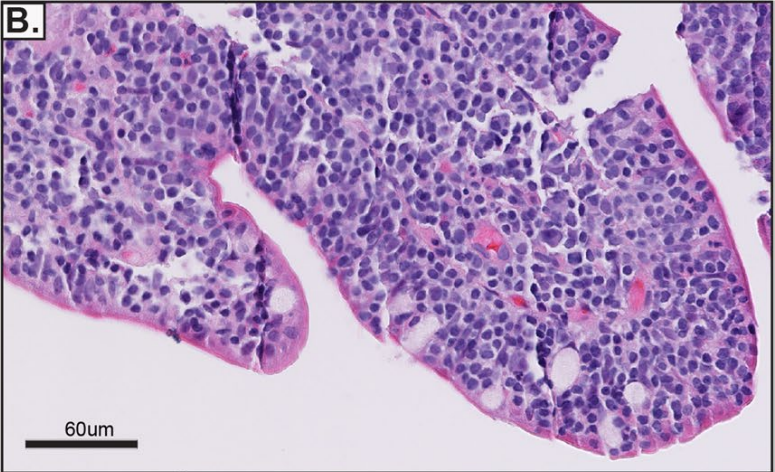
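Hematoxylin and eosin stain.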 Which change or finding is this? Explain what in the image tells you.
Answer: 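Extensive epitheliotropism of small lymphocytes. Numerous small round dark nuclei lie within the surface epithelial layer. The columnar epithelium is crowded and obscured by these small round cells. Scattered clear goblet cells remain among them.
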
